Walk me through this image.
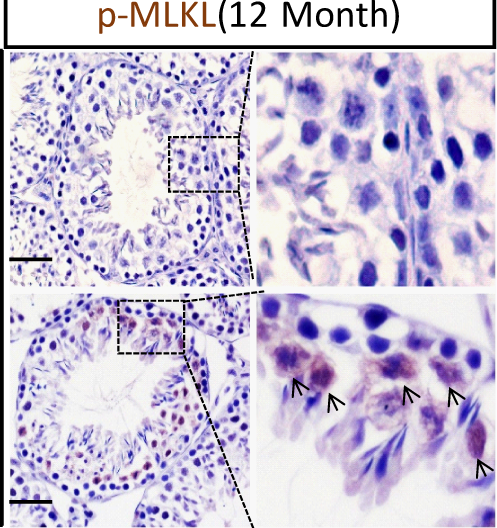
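These are cross-sections of seminiferous tubules of the testis, each with a pale central lumen and a thick epithelium of many layered cells. The nuclei are stained blue and are round to oval in most cells, while near the lumen some are slender and elongated. In the upper field the cells show blue nuclei only, with no brown staining. In the lower field many cells within the epithelium have brown-stained cytoplasm around their blue nuclei. The enlargements at right, taken from the dashed boxes, show these brown cells more clearly, and arrows mark several of them lying among unstained cells and elongated nuclei.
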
